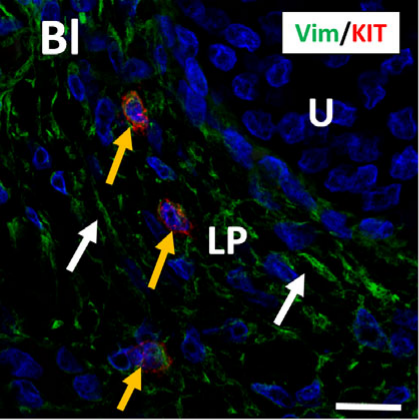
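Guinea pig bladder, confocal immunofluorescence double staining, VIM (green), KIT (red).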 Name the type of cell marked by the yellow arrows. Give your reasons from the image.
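The marked cells are rounded to oval and compact, unlike the surrounding elongated cells. Each marked cell has a red rim around a blue nucleus. They lie scattered in the connective tissue.
Conclusion: mast cells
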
